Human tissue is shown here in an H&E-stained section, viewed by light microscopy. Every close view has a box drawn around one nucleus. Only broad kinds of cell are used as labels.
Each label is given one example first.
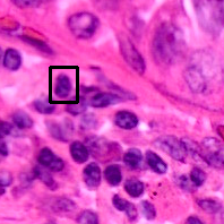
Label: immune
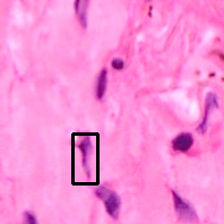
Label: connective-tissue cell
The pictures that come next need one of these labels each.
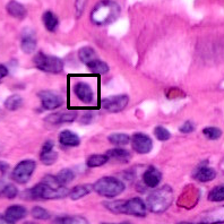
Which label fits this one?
immune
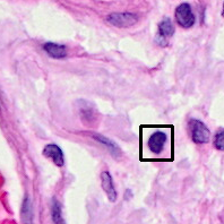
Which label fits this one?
immune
